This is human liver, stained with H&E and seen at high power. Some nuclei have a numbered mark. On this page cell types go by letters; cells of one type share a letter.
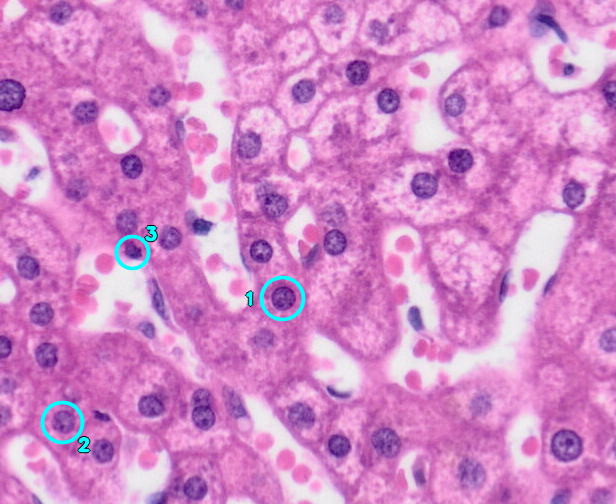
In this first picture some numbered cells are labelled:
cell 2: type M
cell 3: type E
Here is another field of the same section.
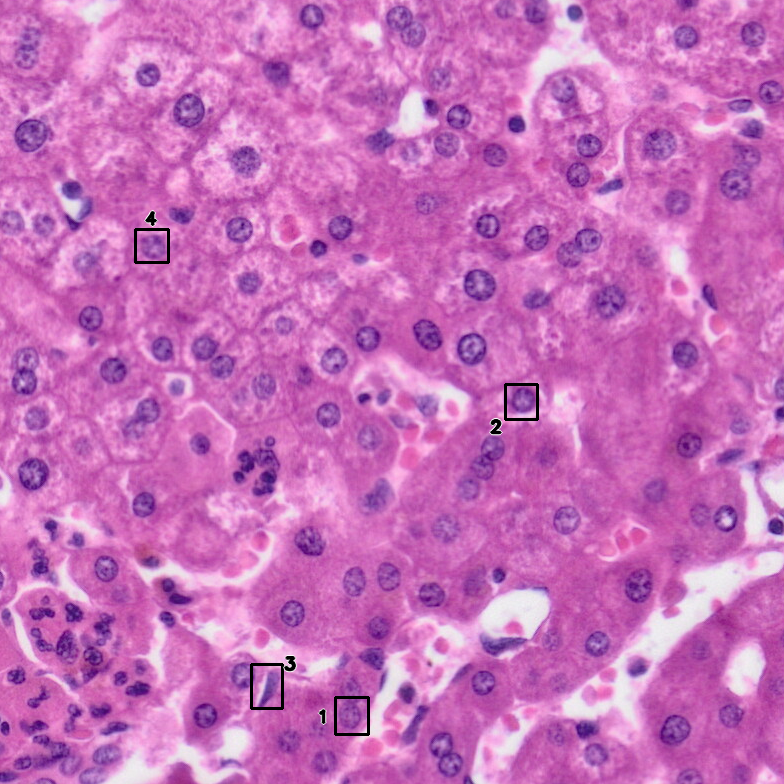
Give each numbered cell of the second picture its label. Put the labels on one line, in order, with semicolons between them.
type M; type M; type E; type M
